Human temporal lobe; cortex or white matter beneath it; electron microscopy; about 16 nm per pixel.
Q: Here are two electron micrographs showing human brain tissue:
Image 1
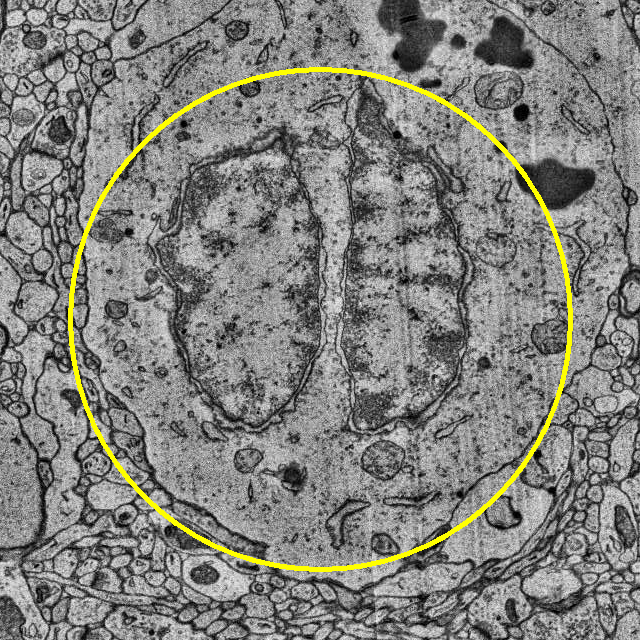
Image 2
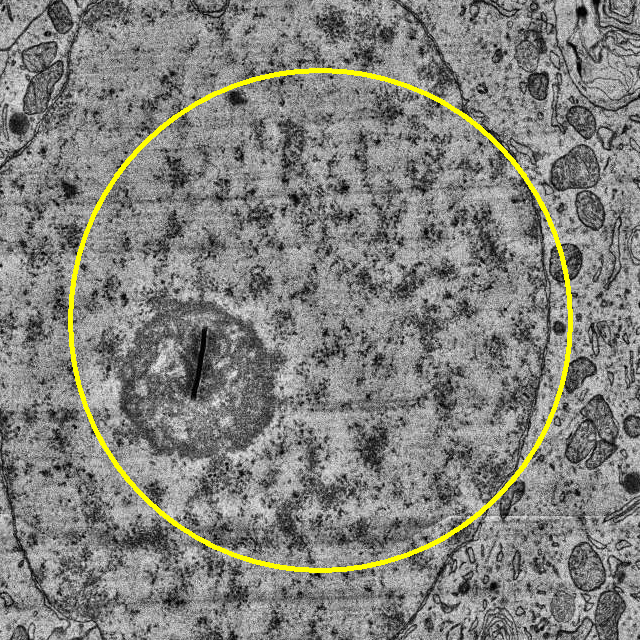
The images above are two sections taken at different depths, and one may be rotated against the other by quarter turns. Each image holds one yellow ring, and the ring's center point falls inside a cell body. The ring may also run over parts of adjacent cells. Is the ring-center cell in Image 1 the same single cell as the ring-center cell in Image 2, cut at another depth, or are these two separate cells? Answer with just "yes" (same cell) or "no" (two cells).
no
